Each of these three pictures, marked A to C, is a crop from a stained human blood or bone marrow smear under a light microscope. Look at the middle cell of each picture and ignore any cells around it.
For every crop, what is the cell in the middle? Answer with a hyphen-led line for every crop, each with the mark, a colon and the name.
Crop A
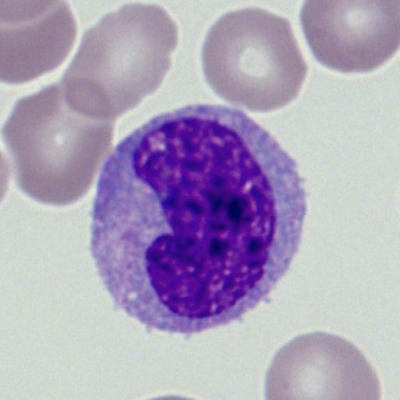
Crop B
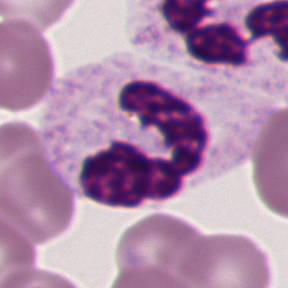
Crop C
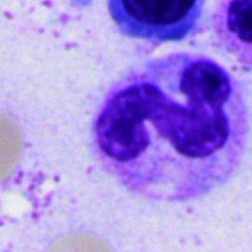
- A: monocyte
- B: segmented neutrophil
- C: segmented neutrophil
